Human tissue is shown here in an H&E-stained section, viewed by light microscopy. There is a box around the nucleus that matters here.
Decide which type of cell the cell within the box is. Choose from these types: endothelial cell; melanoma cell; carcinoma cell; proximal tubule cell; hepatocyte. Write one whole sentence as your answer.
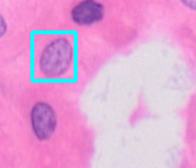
The cell type of the cell within the box is that of a proximal tubule cell.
